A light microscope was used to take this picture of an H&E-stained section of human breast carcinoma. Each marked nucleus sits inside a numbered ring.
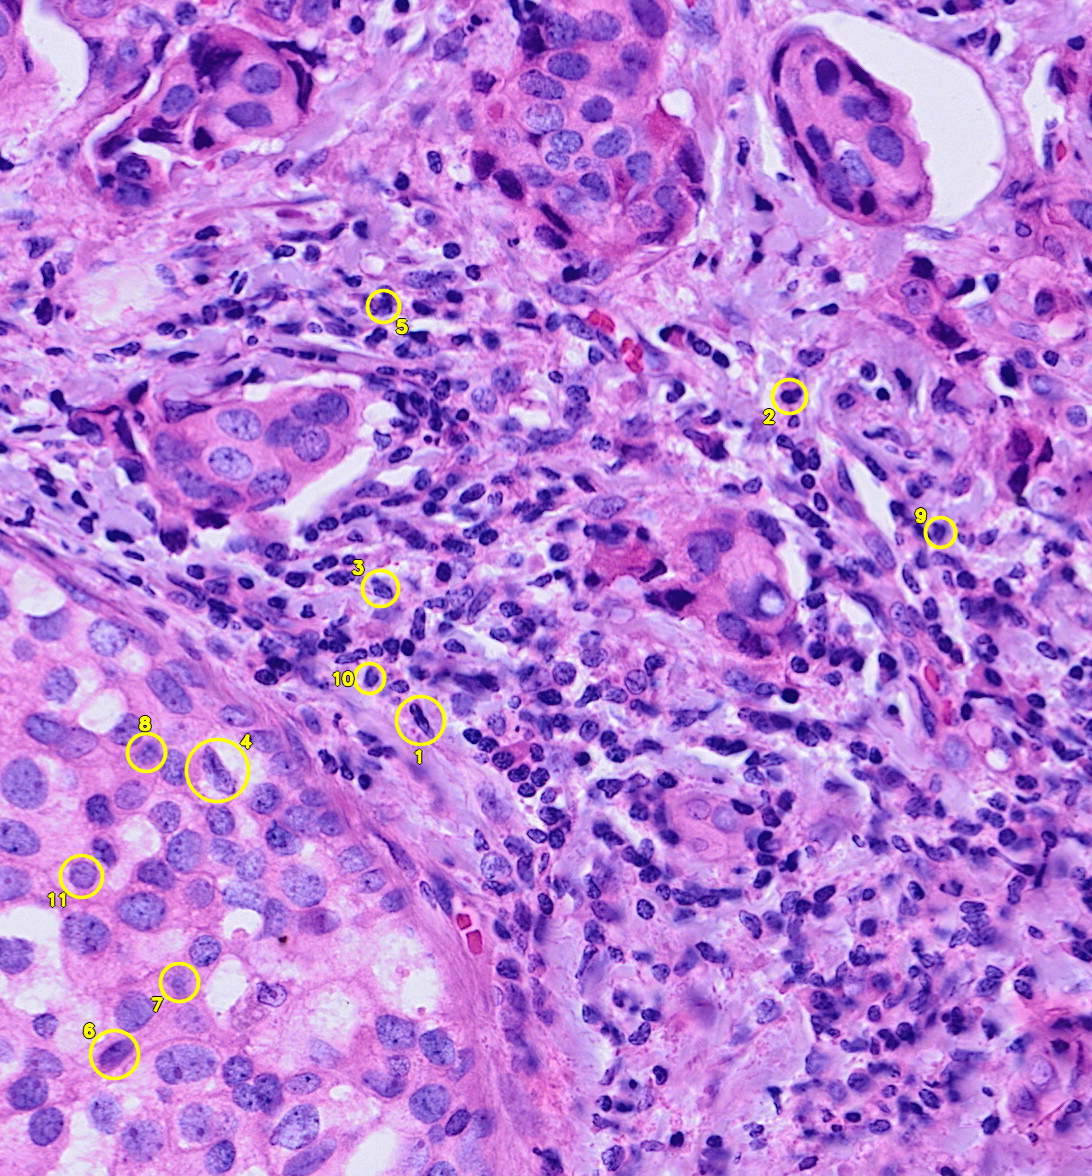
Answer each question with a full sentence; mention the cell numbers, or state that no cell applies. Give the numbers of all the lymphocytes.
Identification: the cells with numbers 1, 2, 3, 5, 9 and 10 are lymphocytes.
